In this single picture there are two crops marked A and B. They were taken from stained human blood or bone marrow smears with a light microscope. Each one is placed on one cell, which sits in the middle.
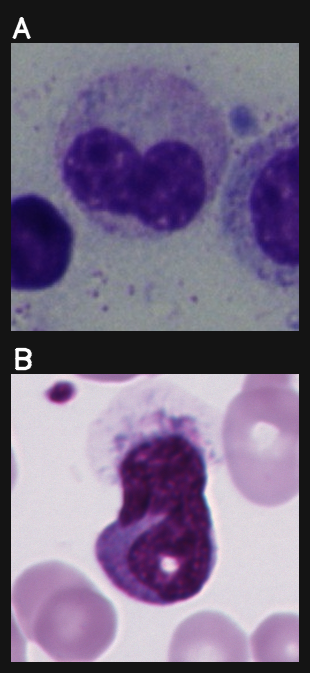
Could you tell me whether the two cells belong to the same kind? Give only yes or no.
no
